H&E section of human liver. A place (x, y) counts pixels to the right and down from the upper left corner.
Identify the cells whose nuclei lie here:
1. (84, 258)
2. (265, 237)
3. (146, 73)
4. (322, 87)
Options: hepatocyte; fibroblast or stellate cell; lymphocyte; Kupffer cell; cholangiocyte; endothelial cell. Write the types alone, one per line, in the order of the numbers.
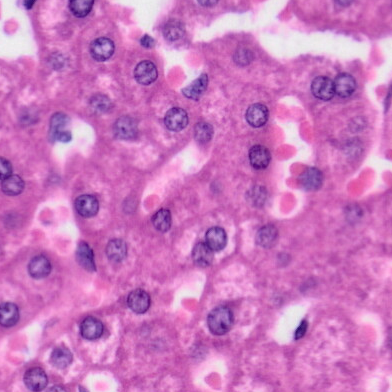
fibroblast or stellate cell
hepatocyte
hepatocyte
hepatocyte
